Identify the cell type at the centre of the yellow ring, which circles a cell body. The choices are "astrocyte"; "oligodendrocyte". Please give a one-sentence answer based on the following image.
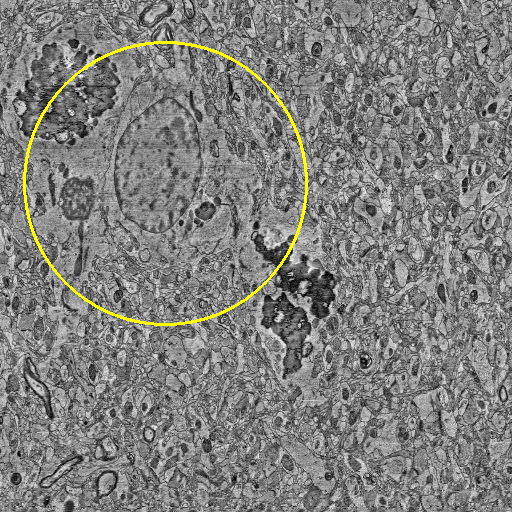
The cell marked by the ring is an astrocyte.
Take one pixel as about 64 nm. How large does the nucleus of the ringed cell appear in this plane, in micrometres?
In this plane, approximately 9 by 6 micrometers, and clearly longer than it is wide.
